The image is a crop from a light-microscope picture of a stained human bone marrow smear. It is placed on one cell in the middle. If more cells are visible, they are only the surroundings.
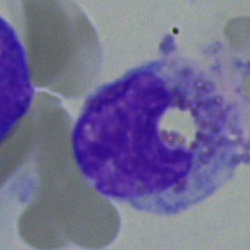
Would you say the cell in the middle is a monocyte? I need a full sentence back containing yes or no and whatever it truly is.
Yes, the centred cell is categorised as a monocyte.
